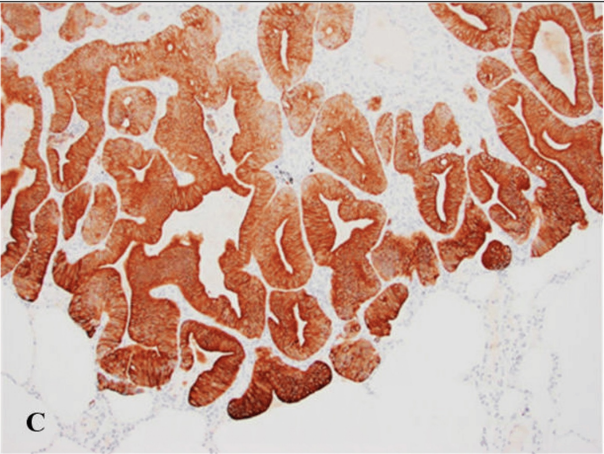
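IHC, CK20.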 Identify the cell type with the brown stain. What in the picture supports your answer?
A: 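Tumor cells. Brown stain fills the columnar cells that line glandular structures. The surrounding thin-walled air-space tissue is unstained and pale blue.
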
